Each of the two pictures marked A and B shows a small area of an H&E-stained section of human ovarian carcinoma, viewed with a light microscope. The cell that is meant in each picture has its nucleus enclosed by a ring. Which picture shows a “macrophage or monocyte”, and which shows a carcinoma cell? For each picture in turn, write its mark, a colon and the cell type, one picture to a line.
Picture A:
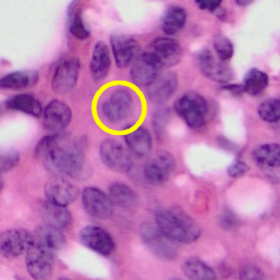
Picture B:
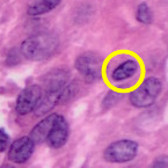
A: carcinoma cell
B: macrophage or monocyte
